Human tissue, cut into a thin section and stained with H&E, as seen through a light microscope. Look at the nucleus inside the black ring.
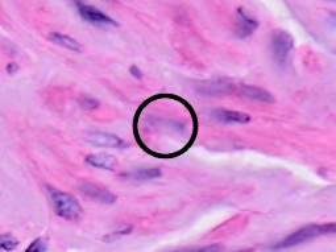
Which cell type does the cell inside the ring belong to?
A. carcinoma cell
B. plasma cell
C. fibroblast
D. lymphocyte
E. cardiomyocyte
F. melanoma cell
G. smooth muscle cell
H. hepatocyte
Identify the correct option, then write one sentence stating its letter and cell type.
Identified correctly by option G, the cell inside the ring is a smooth muscle cell.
